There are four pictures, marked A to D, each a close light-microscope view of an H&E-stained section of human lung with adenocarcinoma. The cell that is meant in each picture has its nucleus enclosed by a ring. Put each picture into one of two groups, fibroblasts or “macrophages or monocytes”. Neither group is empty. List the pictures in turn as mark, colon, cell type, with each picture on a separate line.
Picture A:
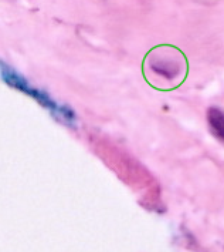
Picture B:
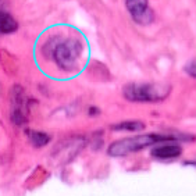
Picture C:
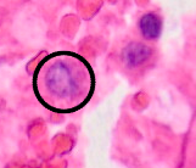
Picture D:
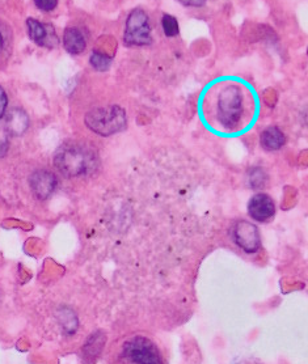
A: fibroblast
B: fibroblast
C: macrophage or monocyte
D: macrophage or monocyte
